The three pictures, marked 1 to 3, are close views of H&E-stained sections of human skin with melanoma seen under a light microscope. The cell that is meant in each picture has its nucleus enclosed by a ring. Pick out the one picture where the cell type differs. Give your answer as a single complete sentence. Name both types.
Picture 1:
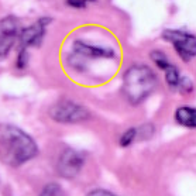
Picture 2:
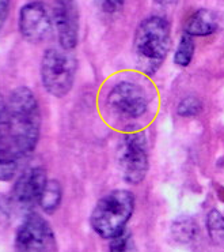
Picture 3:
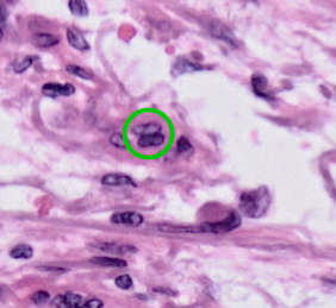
Picture 2 differs, because its cell is a melanoma cell and the rest are endothelial cells.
